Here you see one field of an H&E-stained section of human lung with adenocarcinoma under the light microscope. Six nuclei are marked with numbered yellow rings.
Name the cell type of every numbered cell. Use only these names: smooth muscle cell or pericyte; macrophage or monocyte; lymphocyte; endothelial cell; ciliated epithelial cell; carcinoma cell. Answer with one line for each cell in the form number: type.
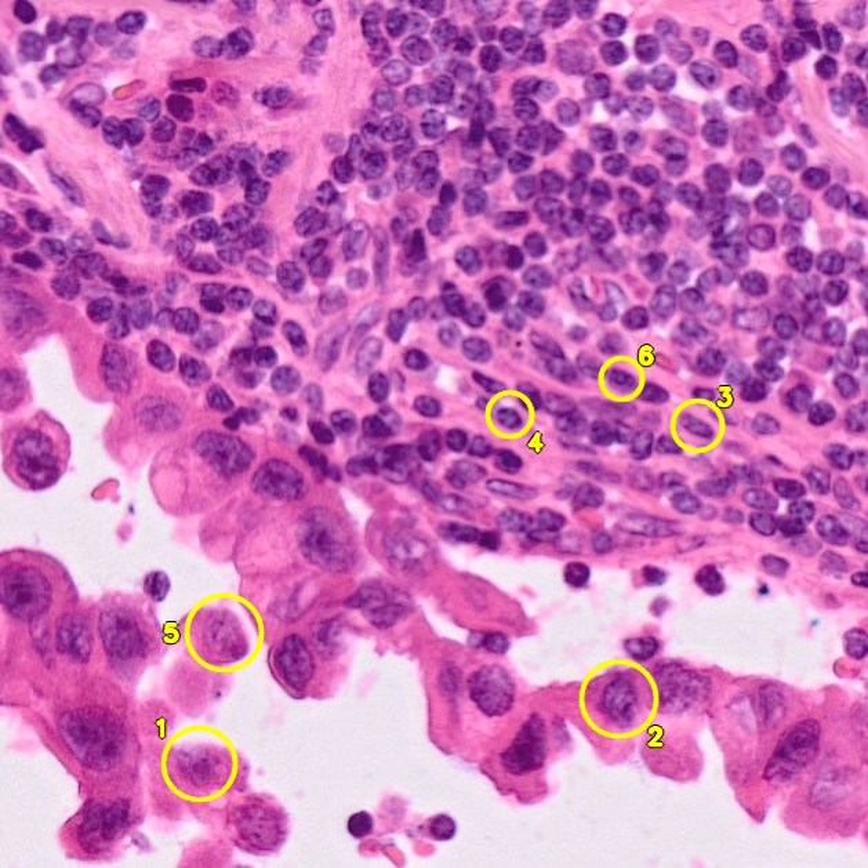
1: carcinoma cell
2: carcinoma cell
3: lymphocyte
4: lymphocyte
5: carcinoma cell
6: lymphocyte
